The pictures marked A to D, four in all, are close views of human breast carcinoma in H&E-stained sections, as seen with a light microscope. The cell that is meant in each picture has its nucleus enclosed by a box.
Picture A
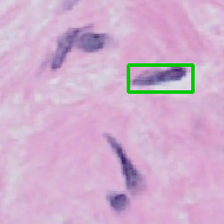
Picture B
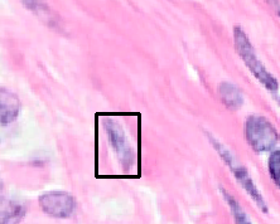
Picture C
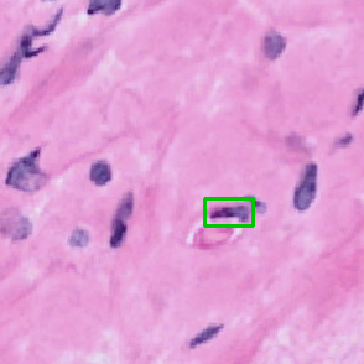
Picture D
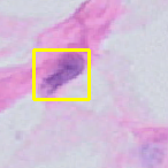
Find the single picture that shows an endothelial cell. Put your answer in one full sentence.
Picture C shows the endothelial cell.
